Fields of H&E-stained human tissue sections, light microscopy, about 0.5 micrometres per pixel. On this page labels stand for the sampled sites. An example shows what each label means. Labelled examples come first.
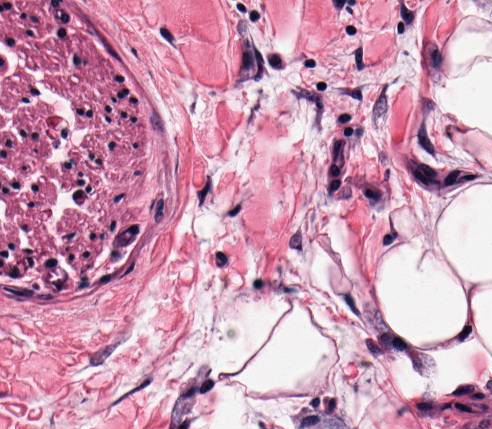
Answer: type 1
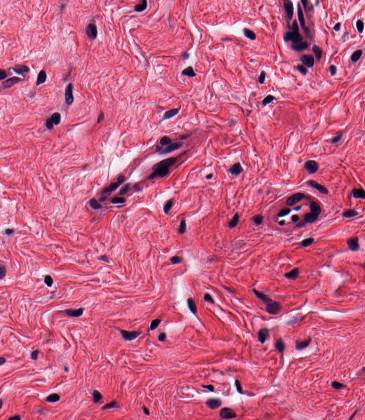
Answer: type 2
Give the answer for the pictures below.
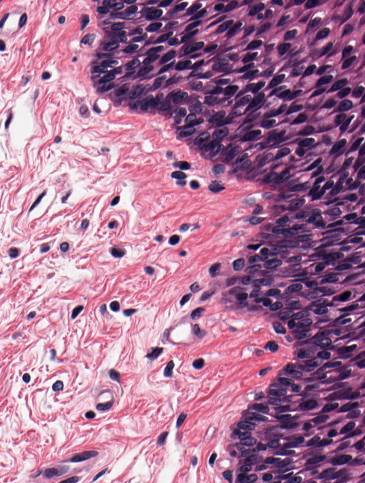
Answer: type 2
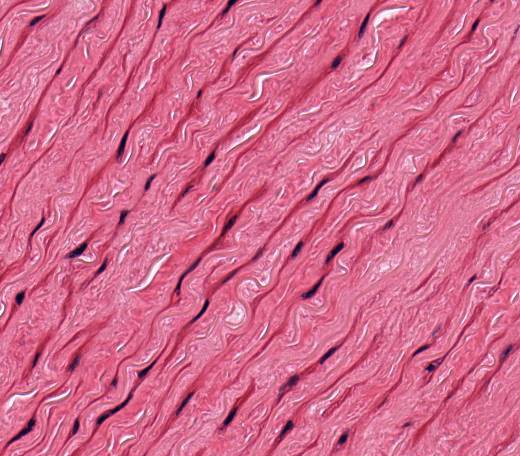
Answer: type 1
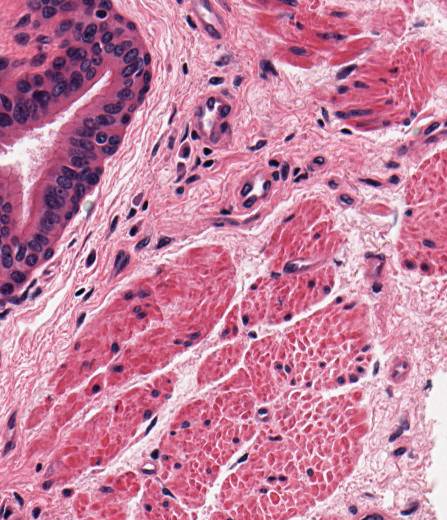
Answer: type 2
